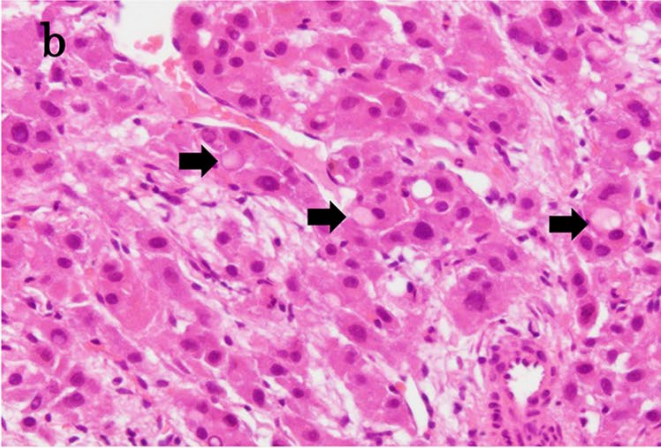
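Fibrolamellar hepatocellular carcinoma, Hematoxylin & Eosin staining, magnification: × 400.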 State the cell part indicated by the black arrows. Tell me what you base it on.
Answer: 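Round, pale pink inclusions sit within the cytoplasm of tumor cells. The inclusions are paler and more homogeneous than the surrounding cytoplasm. On this evidence: pale bodies.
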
